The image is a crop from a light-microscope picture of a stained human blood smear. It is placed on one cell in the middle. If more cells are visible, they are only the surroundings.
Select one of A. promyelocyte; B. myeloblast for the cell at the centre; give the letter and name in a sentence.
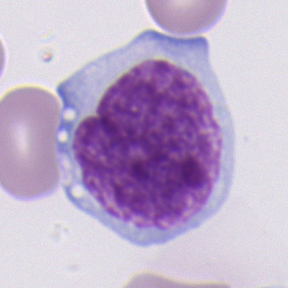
In this crop the middle cell is a myeloblast, so option B is the correct answer.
